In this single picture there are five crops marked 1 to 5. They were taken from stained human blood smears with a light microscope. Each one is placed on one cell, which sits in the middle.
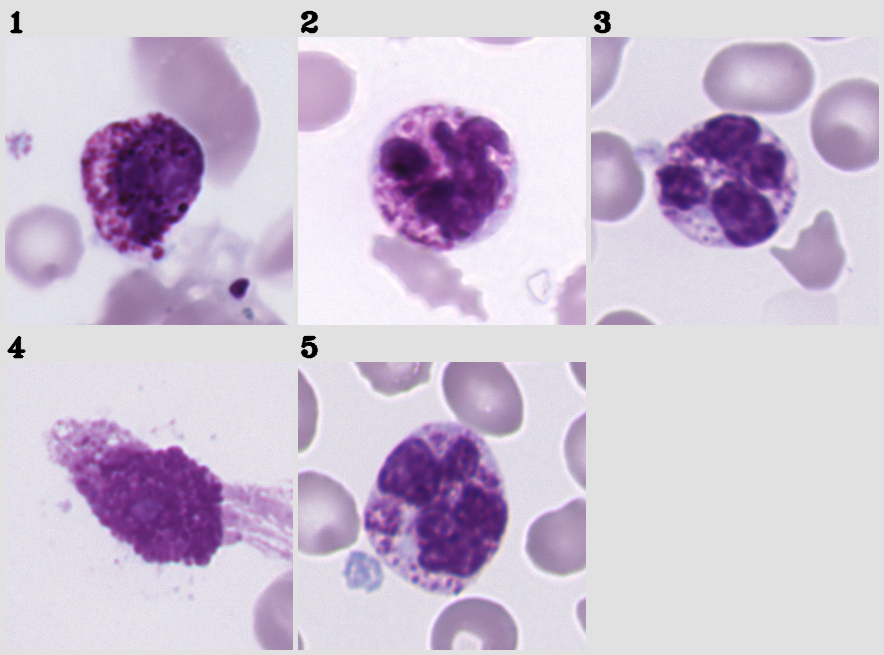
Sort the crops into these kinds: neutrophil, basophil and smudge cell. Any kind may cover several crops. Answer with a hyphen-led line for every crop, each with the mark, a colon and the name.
- 1: basophil
- 2: basophil
- 3: basophil
- 4: smudge cell
- 5: basophil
